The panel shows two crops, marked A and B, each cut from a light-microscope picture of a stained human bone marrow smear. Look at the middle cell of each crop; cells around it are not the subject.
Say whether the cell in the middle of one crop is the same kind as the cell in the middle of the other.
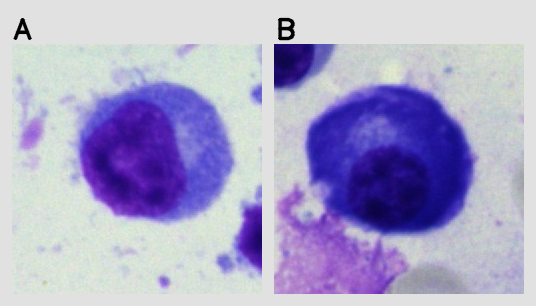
yes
